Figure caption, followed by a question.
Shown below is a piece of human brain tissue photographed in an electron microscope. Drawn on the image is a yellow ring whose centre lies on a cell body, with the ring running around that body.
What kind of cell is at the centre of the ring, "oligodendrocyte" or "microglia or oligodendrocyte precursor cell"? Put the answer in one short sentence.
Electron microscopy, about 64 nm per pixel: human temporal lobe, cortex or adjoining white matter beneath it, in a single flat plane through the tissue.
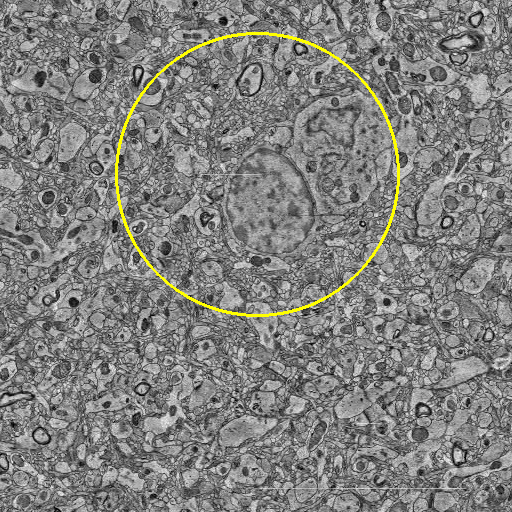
The ring marks the cell body of an oligodendrocyte.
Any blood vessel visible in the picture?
No, none shows.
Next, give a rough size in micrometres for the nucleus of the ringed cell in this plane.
The nucleus measures about 7 by 5 micrometres in this plane.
